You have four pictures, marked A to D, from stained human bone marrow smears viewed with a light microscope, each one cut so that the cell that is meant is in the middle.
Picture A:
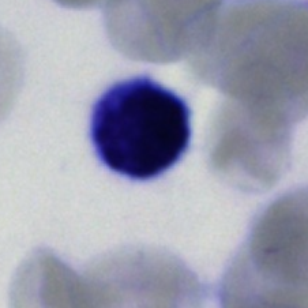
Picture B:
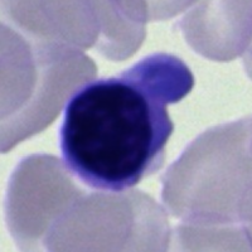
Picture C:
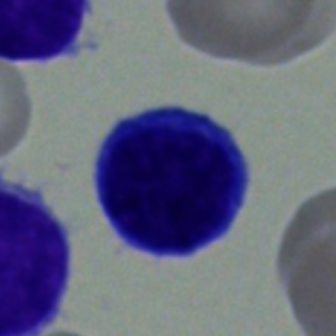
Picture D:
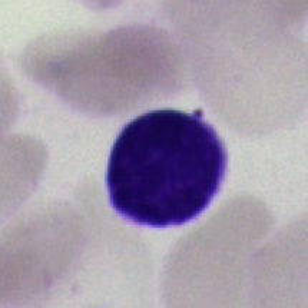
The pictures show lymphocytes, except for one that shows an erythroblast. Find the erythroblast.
B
